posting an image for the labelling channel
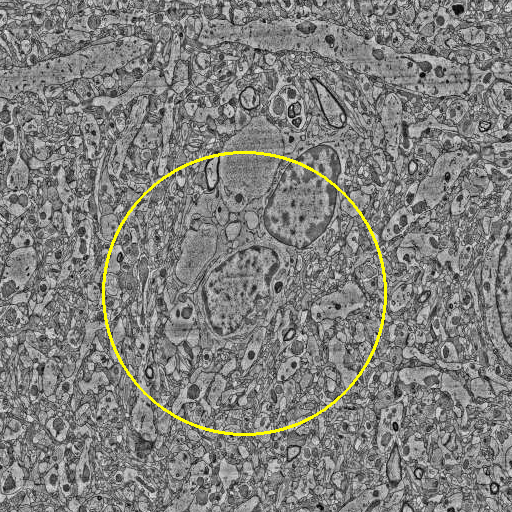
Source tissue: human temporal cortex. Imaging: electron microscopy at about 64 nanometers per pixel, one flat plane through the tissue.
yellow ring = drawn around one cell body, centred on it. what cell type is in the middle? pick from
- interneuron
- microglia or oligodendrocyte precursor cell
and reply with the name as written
microglia or oligodendrocyte precursor cell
